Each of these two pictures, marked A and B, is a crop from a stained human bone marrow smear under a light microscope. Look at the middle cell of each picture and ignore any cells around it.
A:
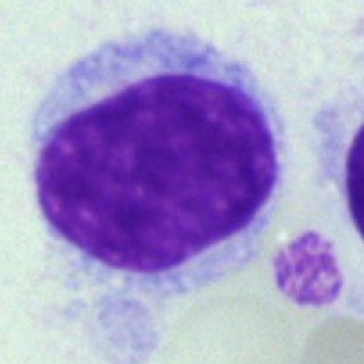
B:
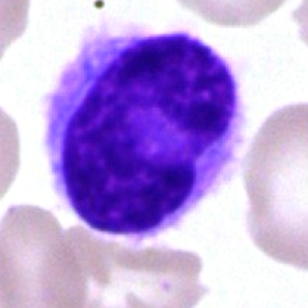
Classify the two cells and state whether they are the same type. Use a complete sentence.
Yes, both crops have hairy cells at the centre.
